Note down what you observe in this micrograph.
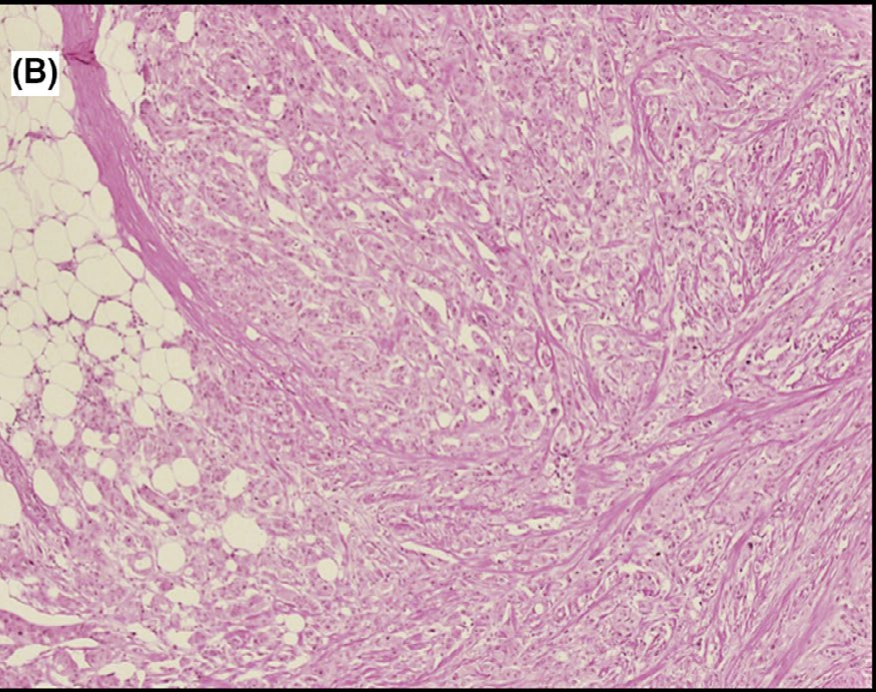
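At low power the carcinoma is seen growing infiltratively, its cells dispersed in cords and small groups through pale pink fibrous stroma. On the left lies fat, and tumor cells extend among the fat cells beyond a pink fibrous band.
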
